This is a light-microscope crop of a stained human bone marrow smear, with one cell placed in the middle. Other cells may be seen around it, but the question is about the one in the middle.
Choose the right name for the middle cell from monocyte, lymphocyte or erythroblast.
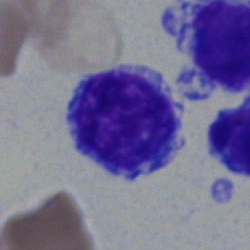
lymphocyte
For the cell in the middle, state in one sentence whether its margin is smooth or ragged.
A ragged or projecting edge replaces the smooth outline in this cell.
